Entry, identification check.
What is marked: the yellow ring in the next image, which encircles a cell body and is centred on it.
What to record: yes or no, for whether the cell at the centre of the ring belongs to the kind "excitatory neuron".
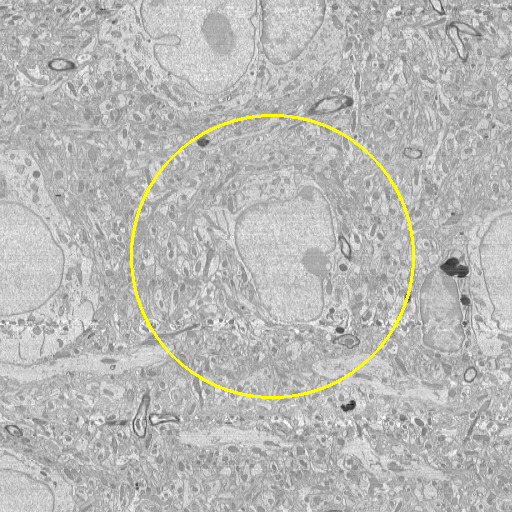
No, it belongs to another kind.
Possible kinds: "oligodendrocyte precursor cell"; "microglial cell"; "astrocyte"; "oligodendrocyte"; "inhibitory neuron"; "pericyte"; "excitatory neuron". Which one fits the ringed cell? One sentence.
Instead, the cell at the centre of the ring is an oligodendrocyte precursor cell.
